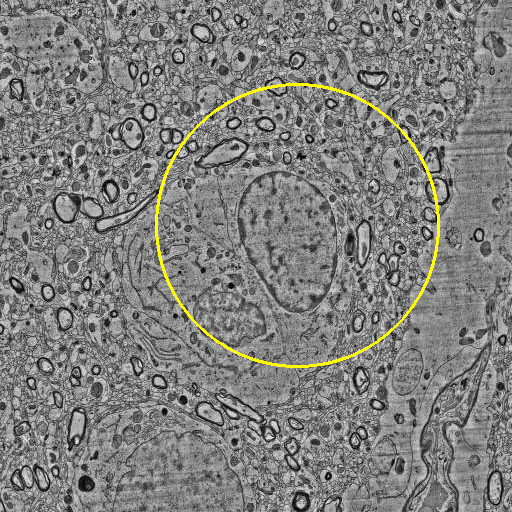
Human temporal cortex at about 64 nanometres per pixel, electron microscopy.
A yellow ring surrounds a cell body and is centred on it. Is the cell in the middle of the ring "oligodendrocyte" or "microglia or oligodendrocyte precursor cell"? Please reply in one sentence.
The ring is centred on a microglial cell or oligodendrocyte precursor cell.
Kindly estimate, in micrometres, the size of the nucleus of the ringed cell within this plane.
Roughly 9 micrometres long and 6 micrometres wide; in this plane the nucleus is clearly longer than it is wide.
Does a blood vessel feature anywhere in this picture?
Yes, one is visible.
